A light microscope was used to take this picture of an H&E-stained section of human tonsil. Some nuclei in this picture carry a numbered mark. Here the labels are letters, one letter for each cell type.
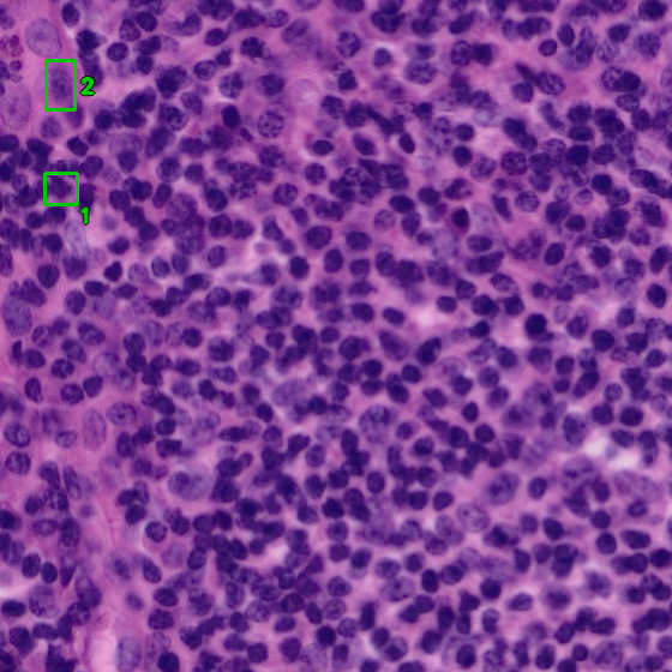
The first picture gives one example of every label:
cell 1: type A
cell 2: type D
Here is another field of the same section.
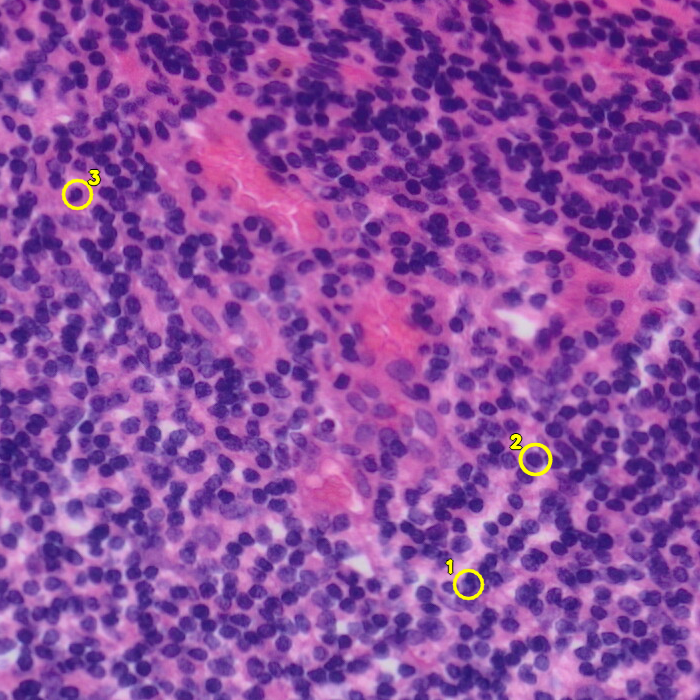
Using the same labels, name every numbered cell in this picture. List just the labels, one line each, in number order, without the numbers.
type A
type A
type D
